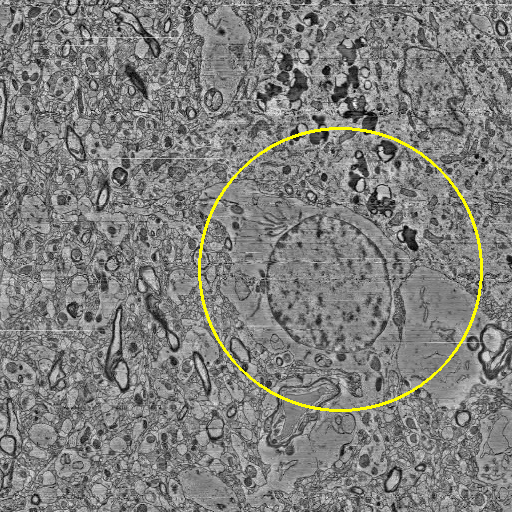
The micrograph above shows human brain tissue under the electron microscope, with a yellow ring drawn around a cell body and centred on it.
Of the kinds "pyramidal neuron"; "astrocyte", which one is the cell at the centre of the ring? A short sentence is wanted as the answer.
The one at the centre of the ring is an astrocyte.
